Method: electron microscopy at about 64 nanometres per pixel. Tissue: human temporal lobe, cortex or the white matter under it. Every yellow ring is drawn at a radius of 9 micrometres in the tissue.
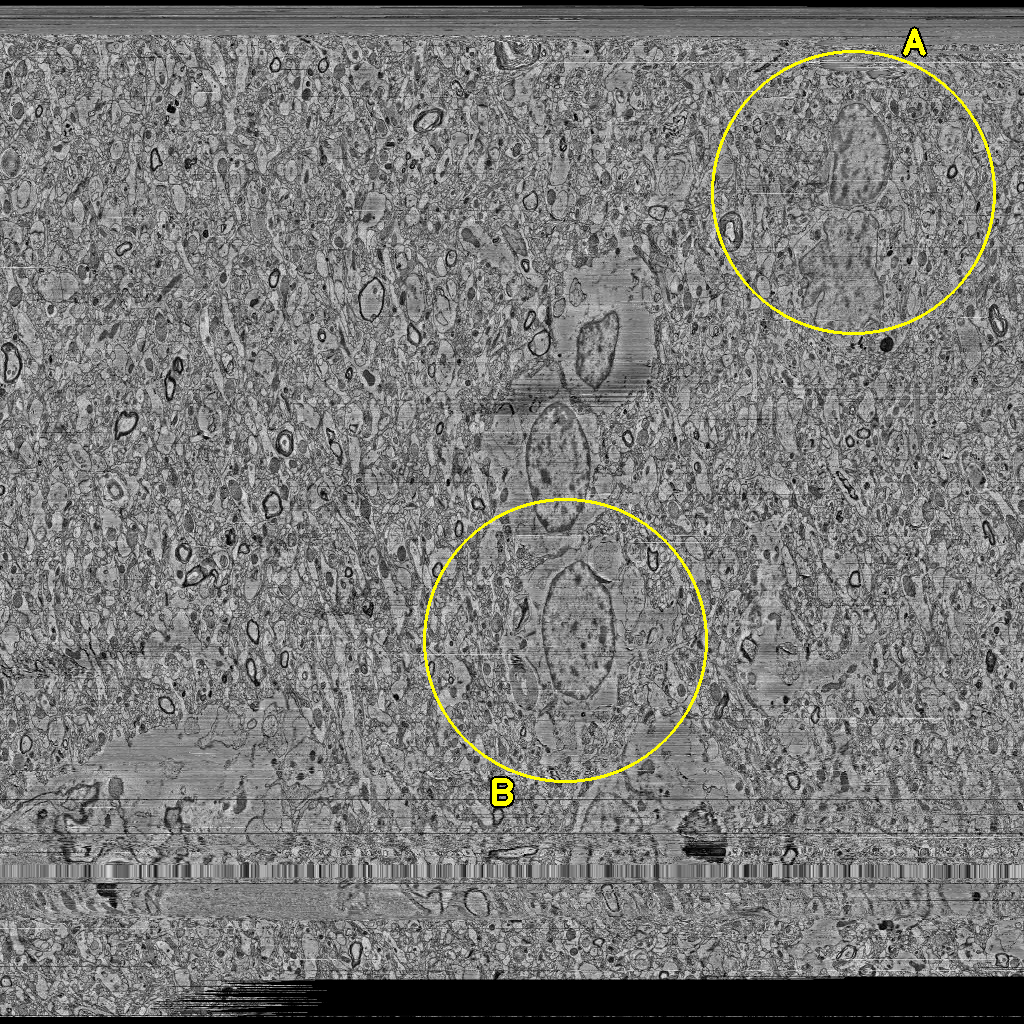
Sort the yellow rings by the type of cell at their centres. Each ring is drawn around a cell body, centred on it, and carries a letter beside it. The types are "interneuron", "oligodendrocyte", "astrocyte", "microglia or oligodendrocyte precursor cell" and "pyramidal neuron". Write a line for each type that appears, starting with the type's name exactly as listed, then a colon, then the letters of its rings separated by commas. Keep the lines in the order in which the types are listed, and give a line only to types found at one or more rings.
oligodendrocyte: A
astrocyte: B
